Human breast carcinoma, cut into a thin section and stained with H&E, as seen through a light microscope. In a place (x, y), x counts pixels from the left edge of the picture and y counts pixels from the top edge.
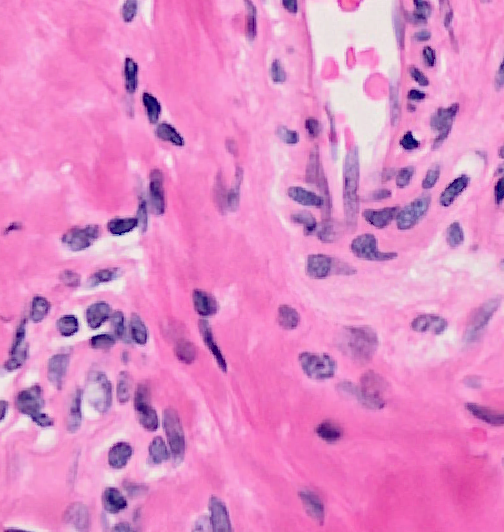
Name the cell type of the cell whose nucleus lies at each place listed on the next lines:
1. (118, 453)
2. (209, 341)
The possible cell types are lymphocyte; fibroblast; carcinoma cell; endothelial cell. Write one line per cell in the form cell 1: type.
cell 1: lymphocyte
cell 2: fibroblast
